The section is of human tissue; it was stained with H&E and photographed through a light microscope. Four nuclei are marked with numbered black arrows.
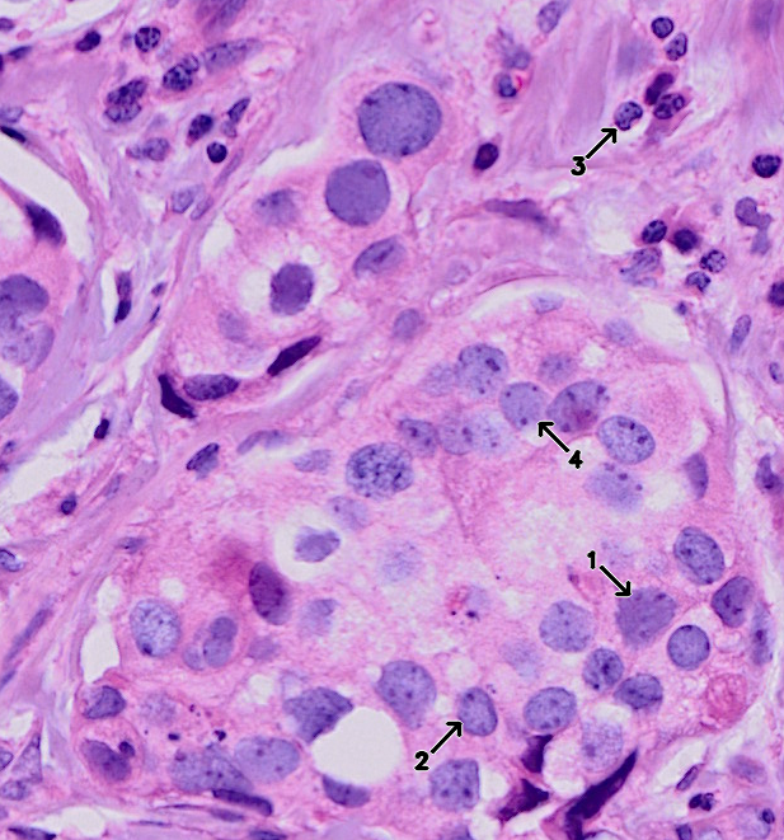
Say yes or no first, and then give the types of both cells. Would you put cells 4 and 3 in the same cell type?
No, cell 4 is a carcinoma cell whereas cell 3 is a lymphocyte.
